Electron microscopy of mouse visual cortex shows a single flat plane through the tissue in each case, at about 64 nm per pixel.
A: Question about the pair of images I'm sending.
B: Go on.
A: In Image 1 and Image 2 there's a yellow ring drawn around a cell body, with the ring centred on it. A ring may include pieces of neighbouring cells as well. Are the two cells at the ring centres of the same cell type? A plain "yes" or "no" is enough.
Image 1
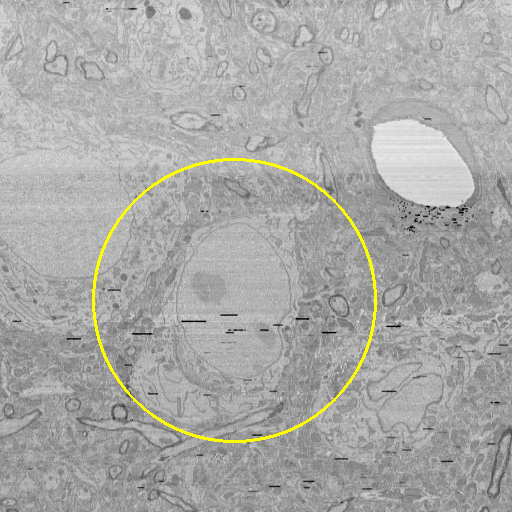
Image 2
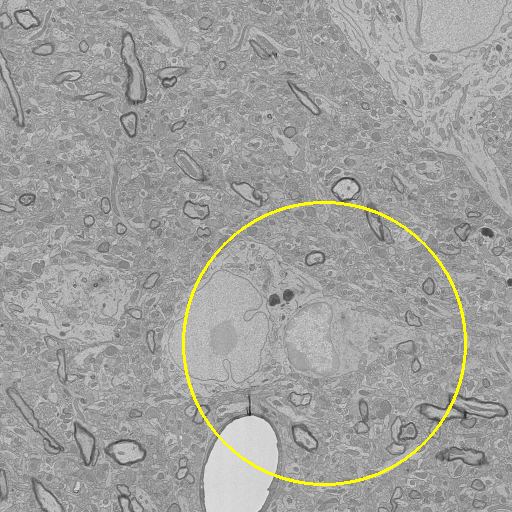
no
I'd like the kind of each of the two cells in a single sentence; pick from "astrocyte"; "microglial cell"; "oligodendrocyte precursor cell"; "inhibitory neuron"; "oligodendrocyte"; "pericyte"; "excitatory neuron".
The first ring marks an excitatory neuron, and the second ring marks an oligodendrocyte.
